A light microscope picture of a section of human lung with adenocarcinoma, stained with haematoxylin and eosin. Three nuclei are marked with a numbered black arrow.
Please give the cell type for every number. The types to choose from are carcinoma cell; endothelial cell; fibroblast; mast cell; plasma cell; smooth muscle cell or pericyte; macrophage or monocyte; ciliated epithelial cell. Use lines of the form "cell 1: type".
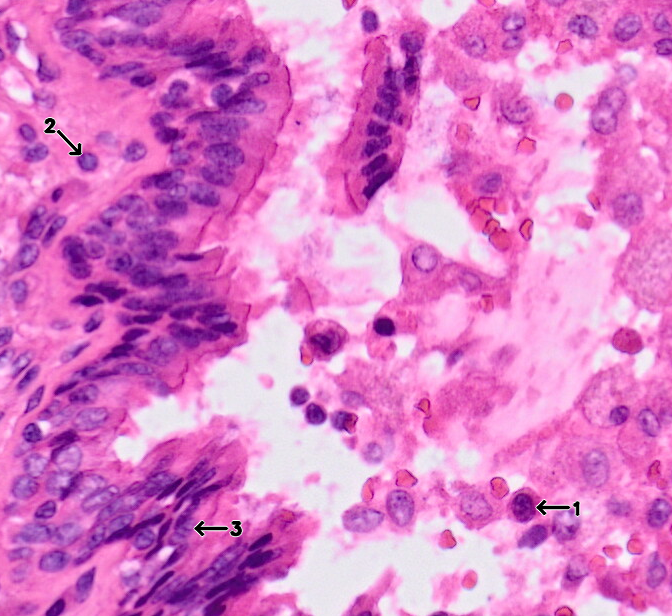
cell 1: macrophage or monocyte
cell 2: mast cell
cell 3: ciliated epithelial cell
